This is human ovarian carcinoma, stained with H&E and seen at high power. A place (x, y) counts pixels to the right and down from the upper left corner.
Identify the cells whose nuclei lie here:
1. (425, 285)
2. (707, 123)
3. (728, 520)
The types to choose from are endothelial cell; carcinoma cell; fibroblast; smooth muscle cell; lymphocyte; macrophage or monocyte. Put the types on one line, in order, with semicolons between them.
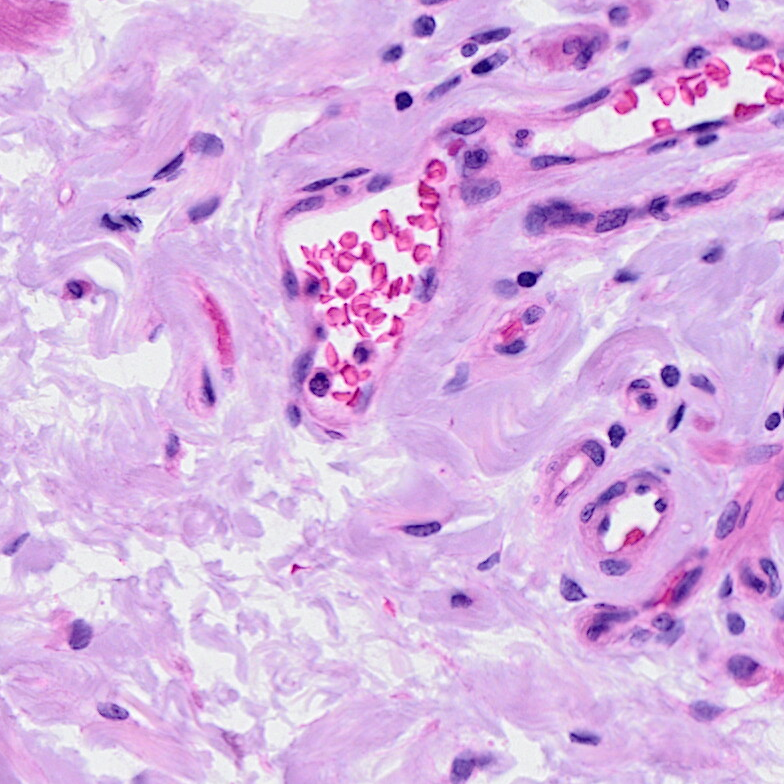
endothelial cell; endothelial cell; smooth muscle cell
